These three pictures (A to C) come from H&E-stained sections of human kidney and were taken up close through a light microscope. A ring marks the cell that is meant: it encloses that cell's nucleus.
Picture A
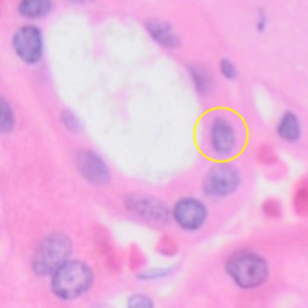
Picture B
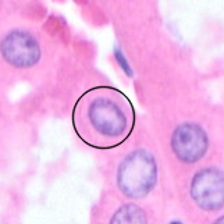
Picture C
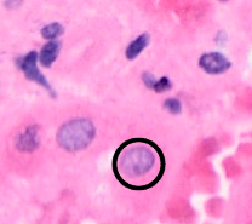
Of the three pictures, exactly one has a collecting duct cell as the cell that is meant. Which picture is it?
A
